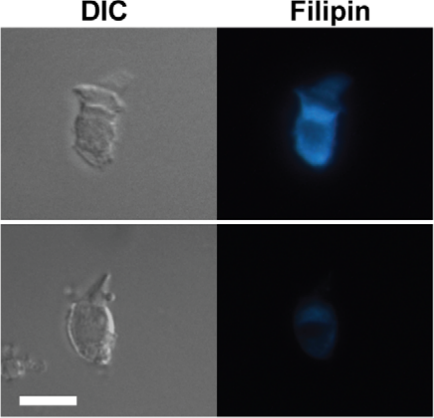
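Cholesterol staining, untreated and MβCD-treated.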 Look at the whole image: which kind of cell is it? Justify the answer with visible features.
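Single isolated elongated cells with a flat apical end. A thin tuft of projections rises from the apical end of each cell.
Hence: Hair cell.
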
